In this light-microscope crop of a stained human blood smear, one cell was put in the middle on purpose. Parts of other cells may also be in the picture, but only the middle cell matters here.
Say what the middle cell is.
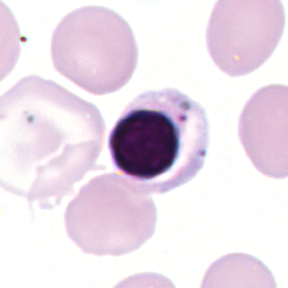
erythroblast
